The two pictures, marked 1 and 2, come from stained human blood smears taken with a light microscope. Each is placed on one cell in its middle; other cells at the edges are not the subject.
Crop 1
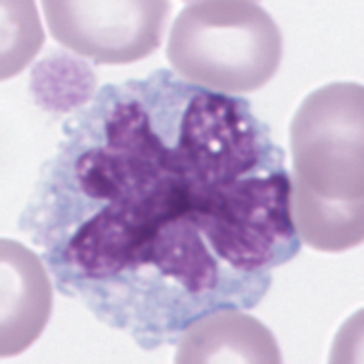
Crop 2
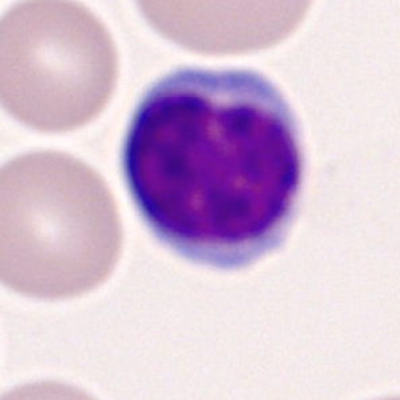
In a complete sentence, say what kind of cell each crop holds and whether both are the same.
No, crop 1 shows a monocyte, whereas in crop 2 the cell is a lymphocyte.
